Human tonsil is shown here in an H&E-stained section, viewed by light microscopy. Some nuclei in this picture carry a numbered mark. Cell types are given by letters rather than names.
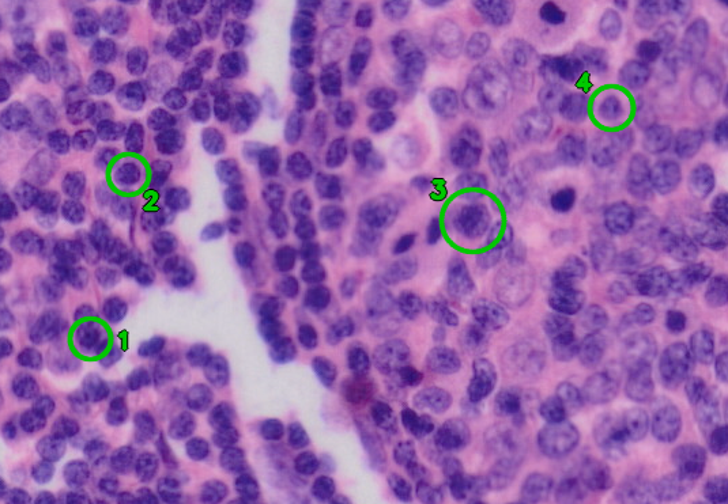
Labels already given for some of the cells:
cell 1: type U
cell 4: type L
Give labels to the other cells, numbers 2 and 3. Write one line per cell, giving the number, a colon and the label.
2: type U
3: type L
